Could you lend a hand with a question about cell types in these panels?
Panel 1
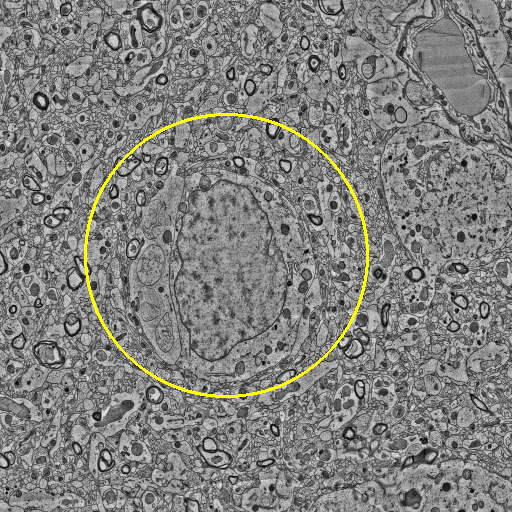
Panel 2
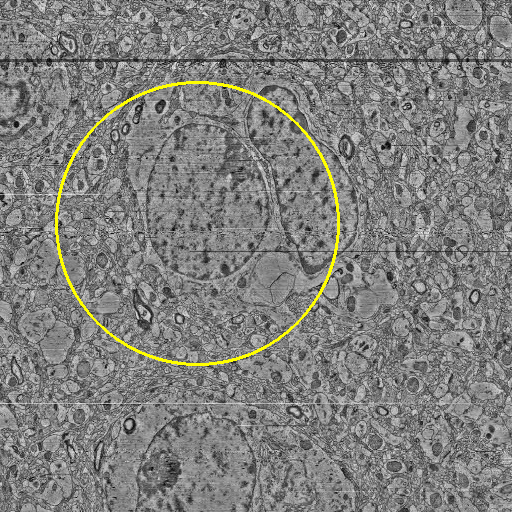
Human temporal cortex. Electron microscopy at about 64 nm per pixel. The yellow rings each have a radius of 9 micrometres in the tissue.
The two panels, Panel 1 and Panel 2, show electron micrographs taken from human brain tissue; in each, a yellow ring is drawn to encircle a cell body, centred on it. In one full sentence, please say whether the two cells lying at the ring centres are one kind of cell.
No, the cells at the ring centres in the two panels are two kinds of cell.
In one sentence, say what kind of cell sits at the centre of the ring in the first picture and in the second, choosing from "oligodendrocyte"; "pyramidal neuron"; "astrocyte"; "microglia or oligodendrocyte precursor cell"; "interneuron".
The first picture's ringed cell is a pyramidal neuron, while the second picture's is an astrocyte.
